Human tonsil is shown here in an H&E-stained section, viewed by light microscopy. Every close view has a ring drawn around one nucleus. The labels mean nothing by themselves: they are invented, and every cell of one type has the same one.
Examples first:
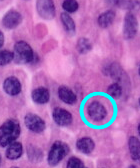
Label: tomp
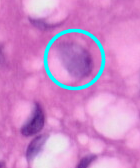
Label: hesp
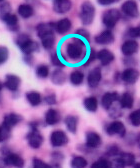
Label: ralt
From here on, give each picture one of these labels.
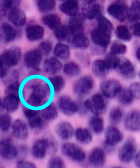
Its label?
ralt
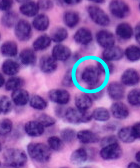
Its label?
ralt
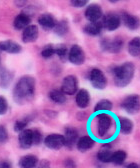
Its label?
ralt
